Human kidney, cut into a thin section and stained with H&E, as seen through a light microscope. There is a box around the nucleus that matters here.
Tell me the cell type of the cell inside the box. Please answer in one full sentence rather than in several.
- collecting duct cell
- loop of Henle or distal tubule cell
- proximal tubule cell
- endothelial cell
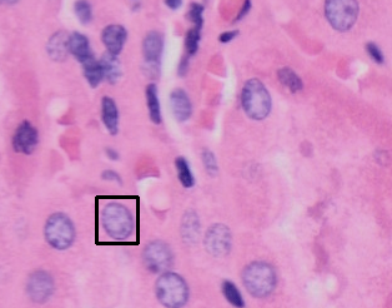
The category to which the cell inside the box belongs is that of a proximal tubule cell.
